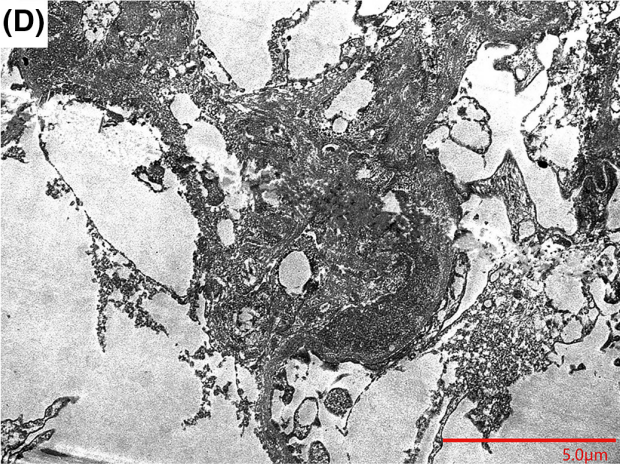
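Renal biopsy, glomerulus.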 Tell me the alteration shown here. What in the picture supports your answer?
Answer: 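Deposition of electron‐dense material. A large dark, dense central region sits between pale capillary lumens. Dark granular material of varying size lies within this central area.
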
